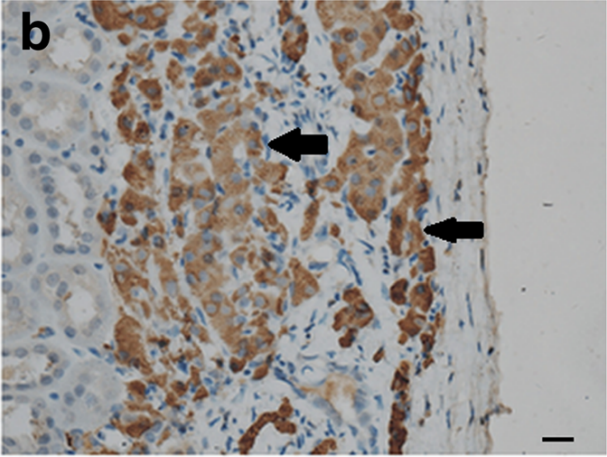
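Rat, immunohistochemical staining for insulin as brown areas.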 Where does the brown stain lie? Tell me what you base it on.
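Under the kidney capsule. Renal tubules with cuboidal epithelium and pale cytoplasm occupy the left of the field. The brown-stained cells lie between the tubules and a thin layer of flattened fibrous tissue at the surface on the right.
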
